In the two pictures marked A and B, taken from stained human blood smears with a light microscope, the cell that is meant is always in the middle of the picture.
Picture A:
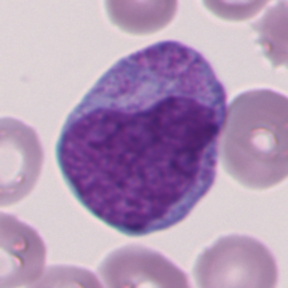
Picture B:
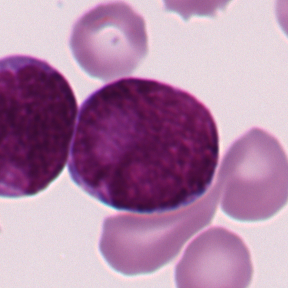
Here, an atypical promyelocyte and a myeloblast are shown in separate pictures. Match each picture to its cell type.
A: atypical promyelocyte
B: myeloblast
